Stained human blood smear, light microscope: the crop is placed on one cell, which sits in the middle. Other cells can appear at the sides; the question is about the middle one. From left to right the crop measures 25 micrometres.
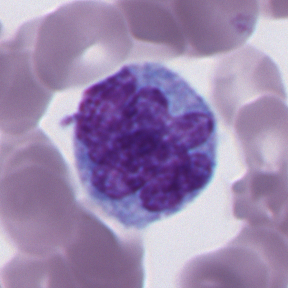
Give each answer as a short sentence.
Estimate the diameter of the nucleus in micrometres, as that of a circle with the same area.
Taken as a circle, the nucleus has a diameter of about 11 micrometres.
